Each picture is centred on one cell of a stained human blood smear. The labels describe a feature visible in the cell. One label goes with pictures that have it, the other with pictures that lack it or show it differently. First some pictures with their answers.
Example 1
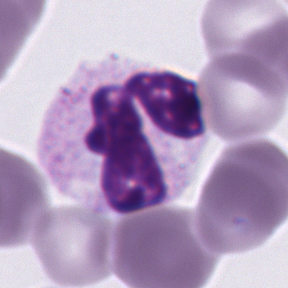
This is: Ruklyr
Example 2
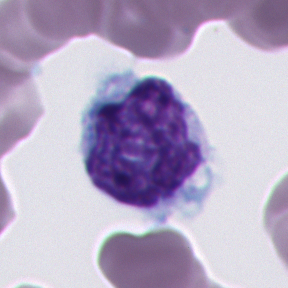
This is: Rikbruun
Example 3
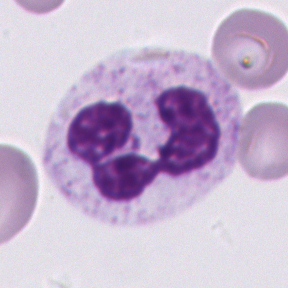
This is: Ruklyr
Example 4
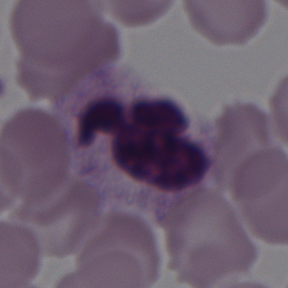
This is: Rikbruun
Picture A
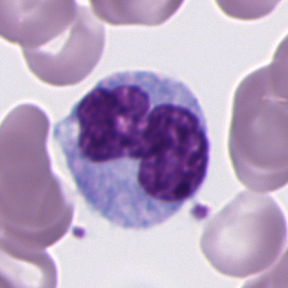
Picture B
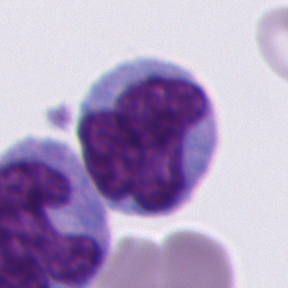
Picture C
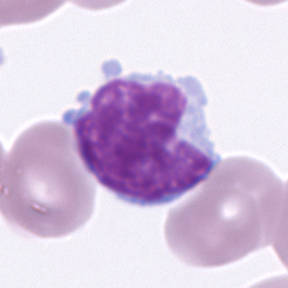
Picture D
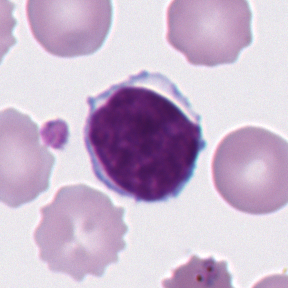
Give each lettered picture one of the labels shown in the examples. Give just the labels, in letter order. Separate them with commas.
Ruklyr, Ruklyr, Rikbruun, Rikbruun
